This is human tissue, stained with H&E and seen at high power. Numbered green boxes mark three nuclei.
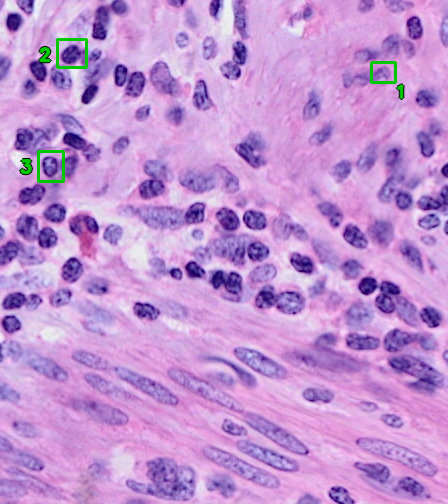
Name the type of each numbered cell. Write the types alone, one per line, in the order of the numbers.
smooth muscle cell
lymphocyte
lymphocyte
